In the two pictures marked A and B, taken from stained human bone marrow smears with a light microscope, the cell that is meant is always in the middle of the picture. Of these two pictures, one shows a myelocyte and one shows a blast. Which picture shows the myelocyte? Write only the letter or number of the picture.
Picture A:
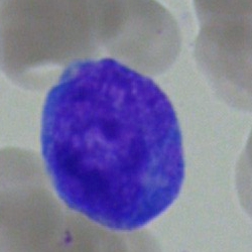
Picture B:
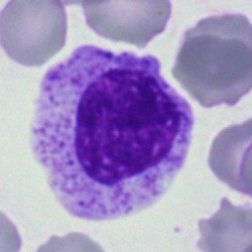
B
